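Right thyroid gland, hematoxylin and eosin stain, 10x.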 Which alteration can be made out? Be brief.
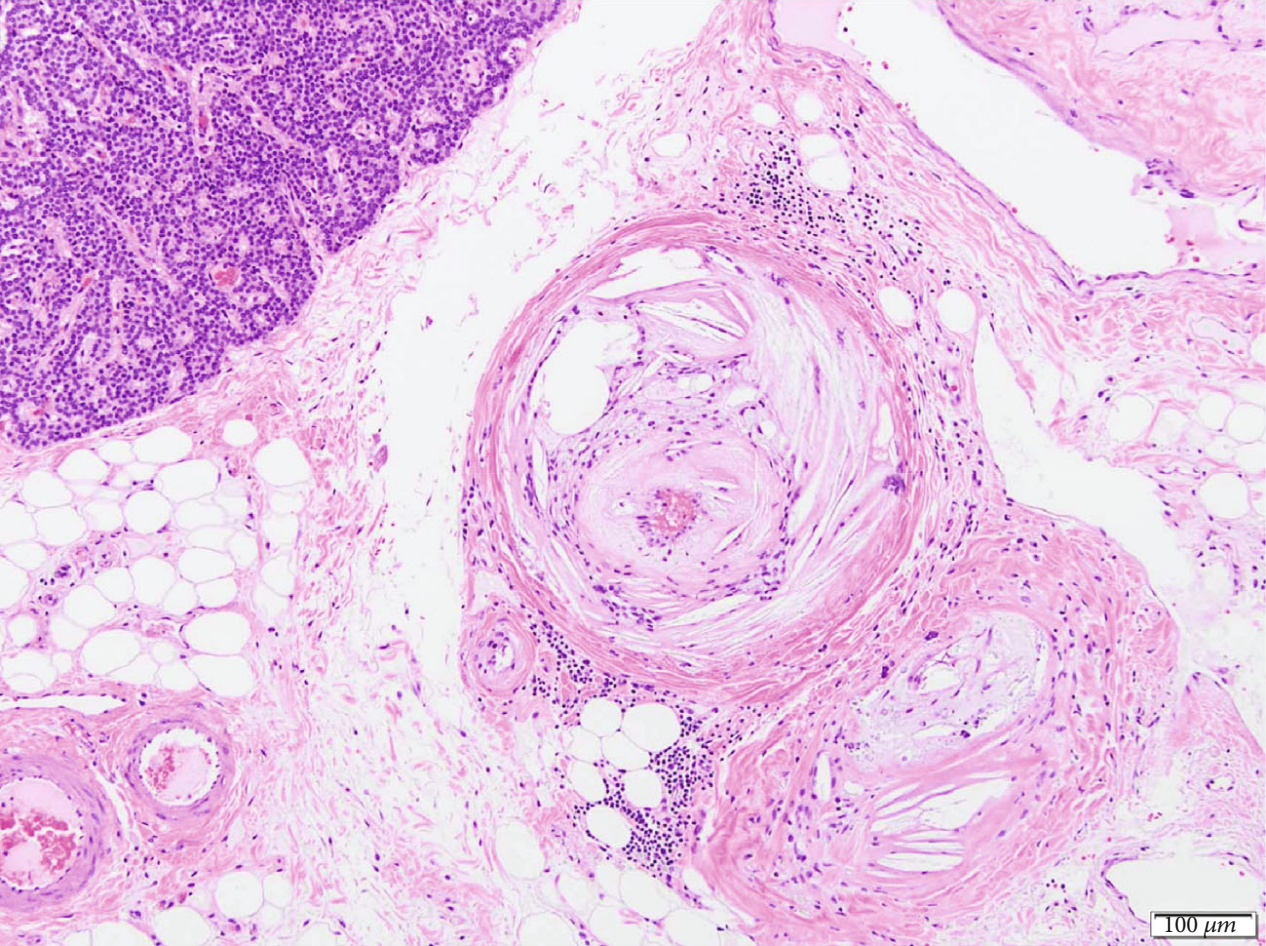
Cholesterol clefts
